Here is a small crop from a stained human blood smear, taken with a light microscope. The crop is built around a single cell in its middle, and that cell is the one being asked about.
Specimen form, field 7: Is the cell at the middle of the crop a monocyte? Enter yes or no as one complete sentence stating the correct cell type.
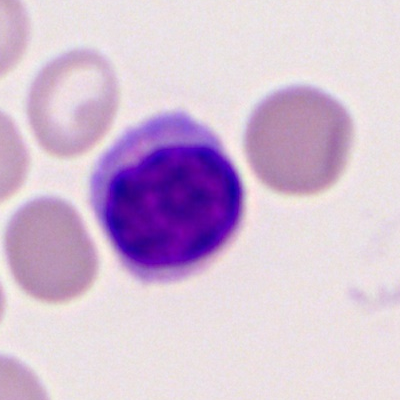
No, wrong label: the middle cell is a lymphocyte instead of a monocyte.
